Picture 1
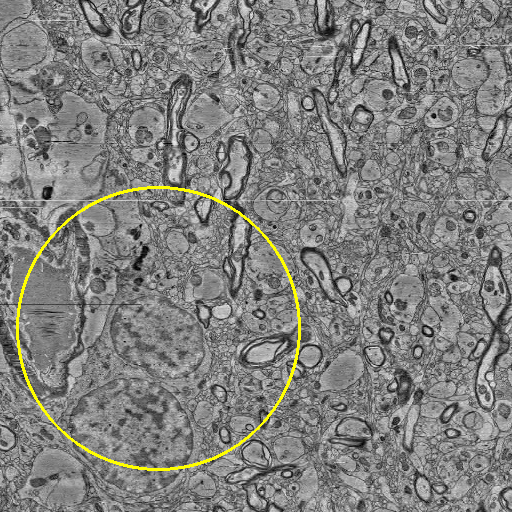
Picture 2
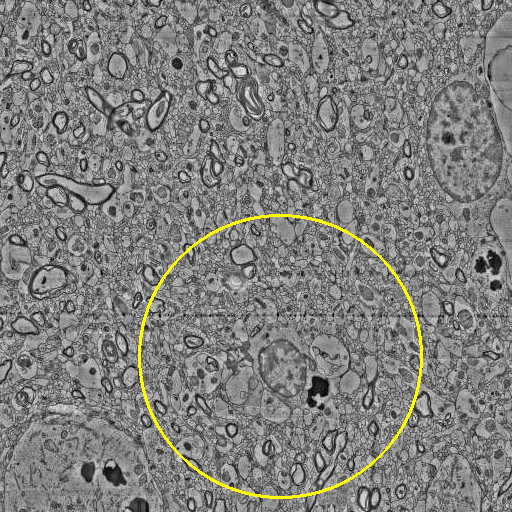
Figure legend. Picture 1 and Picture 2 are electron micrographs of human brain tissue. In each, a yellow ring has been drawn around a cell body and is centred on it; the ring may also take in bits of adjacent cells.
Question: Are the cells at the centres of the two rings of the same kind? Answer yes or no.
yes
